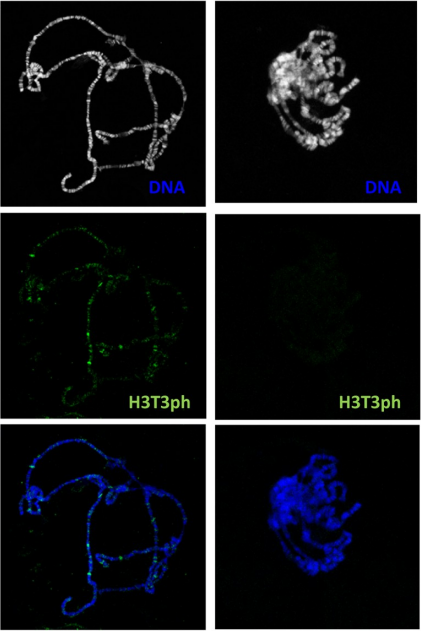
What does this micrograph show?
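In the left column the chromosome arms are long, thick and clearly banded, with alternating bright and dim bands of blue DNA along their length; the arms loop widely and join at one region. Small green dots lie scattered along many bands of these arms. In the right column the chromosomes are shorter-looking and packed into a dense, tangled mass, with the banding less easily followed, and almost no green dots can be seen on them.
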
